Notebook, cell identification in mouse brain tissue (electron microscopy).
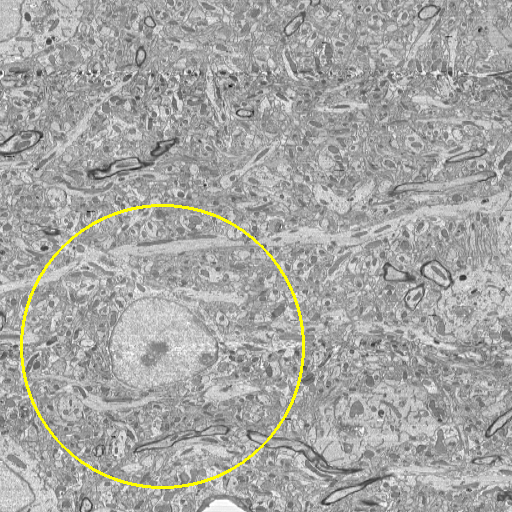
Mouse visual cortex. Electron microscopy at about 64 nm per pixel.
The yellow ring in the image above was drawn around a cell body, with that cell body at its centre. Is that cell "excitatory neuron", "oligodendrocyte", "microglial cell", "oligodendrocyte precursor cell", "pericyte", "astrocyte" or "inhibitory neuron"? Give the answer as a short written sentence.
The cell in the ring is an astrocyte.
